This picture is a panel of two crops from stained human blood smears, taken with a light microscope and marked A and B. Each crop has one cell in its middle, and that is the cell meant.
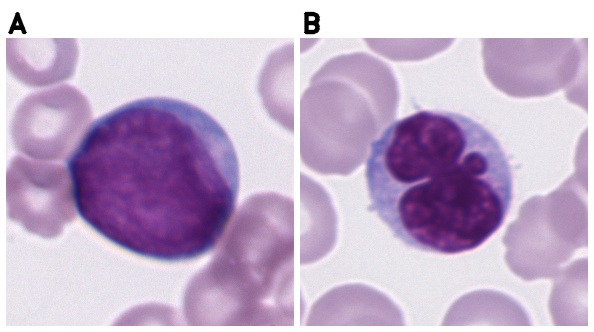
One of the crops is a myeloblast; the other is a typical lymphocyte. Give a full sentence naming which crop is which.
At the centre of crop A lies a myeloblast, and at the centre of crop B lies a typical lymphocyte.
